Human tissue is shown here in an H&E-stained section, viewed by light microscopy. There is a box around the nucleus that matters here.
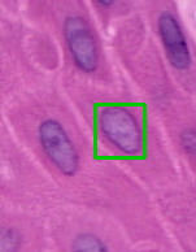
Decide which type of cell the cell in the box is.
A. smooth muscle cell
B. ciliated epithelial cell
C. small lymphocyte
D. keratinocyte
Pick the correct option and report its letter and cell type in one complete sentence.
Settle on option D; the cell in the box is a keratinocyte.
